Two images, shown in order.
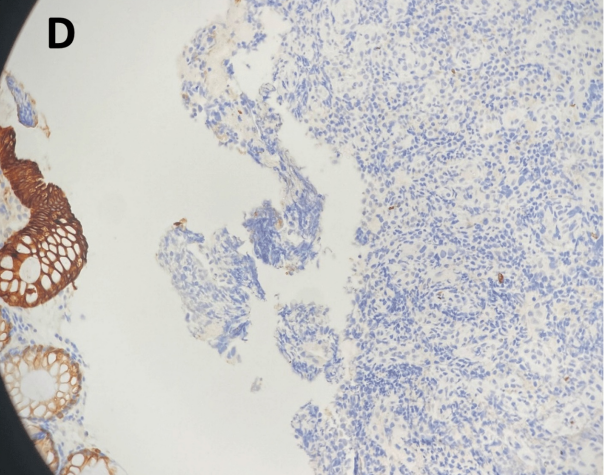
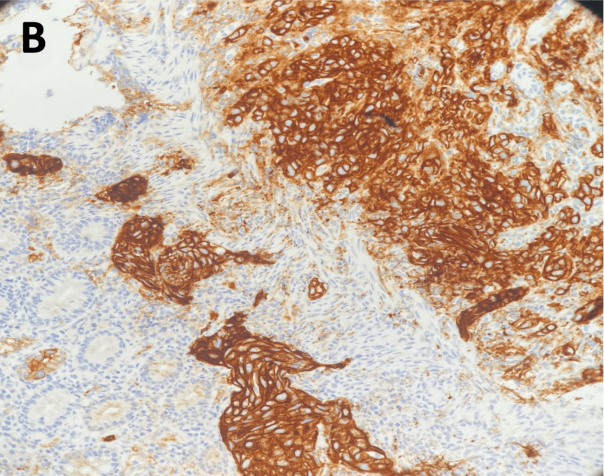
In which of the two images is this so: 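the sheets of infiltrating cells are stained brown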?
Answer: the second image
